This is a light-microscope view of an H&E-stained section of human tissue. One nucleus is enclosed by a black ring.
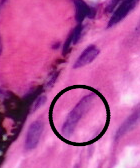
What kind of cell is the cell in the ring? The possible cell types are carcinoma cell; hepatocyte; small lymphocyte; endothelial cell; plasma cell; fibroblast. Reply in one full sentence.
The cell type of the cell in the ring is that of a fibroblast.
